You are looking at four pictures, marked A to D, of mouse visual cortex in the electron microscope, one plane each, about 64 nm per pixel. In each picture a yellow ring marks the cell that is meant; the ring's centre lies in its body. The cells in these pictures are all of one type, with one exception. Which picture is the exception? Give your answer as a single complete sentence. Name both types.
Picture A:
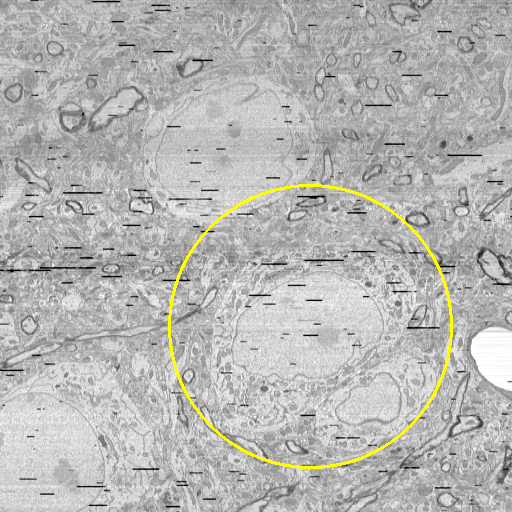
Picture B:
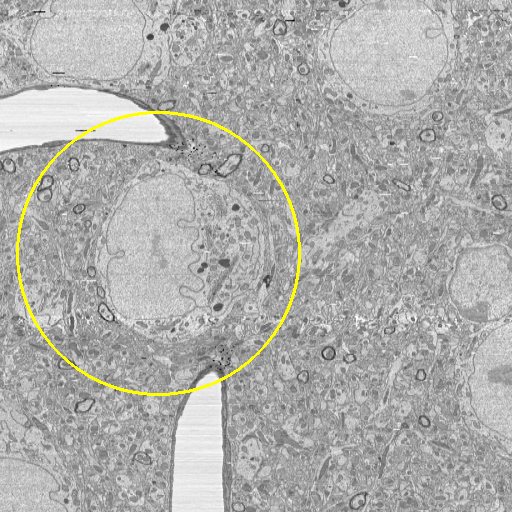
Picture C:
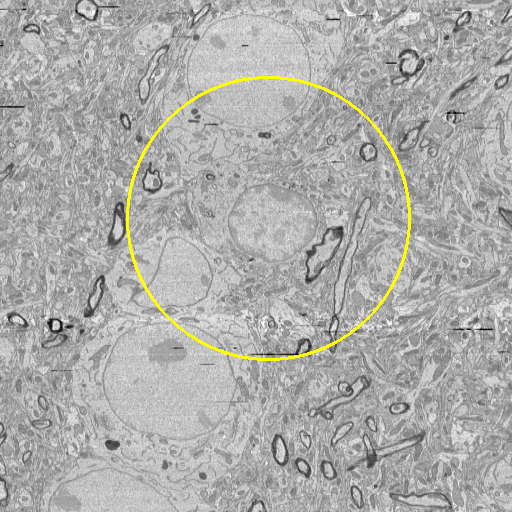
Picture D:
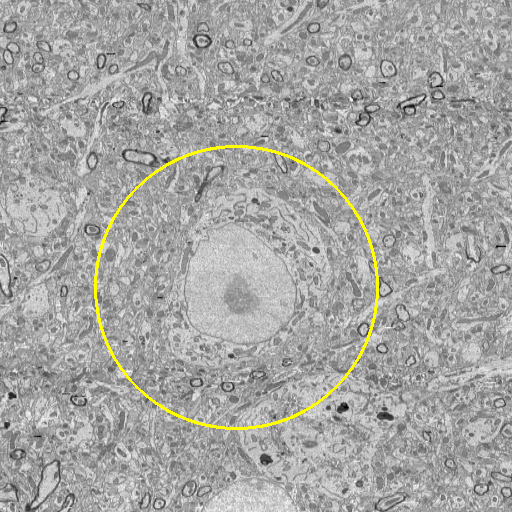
The others show inhibitory neurons, but picture C shows an oligodendrocyte.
